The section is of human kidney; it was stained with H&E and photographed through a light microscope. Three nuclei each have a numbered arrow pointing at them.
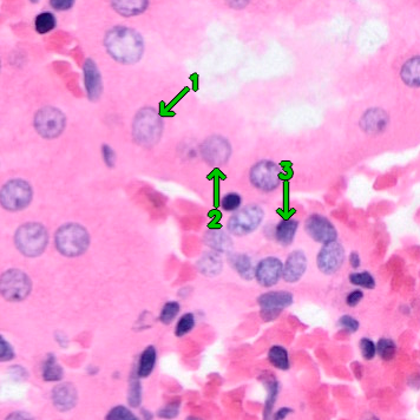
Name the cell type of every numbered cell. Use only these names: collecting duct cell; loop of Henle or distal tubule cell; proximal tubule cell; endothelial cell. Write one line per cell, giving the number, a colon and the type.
1: proximal tubule cell
2: proximal tubule cell
3: collecting duct cell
